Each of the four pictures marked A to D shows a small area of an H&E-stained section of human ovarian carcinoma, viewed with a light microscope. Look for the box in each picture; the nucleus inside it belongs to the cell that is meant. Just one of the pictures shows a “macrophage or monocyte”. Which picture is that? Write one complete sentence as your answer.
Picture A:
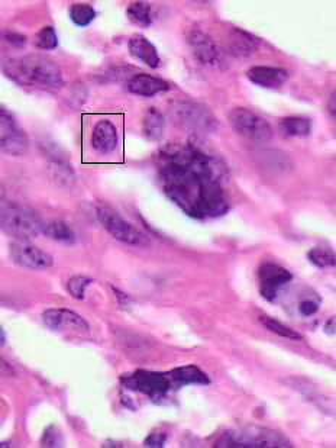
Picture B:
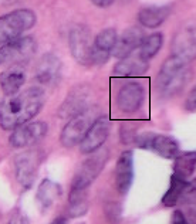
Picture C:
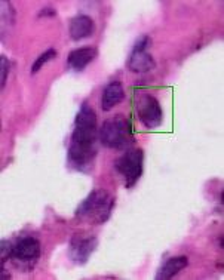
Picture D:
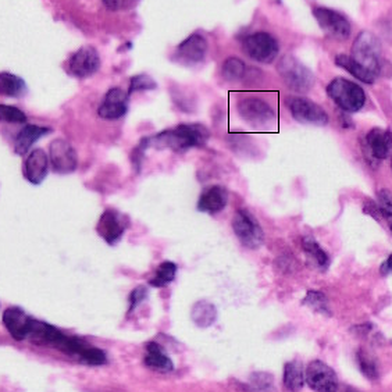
It is picture A that shows the “macrophage or monocyte”.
